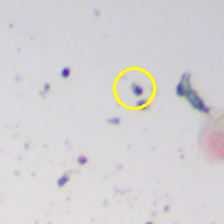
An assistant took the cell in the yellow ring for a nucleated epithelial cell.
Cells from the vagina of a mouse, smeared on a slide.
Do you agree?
I disagree, it is a leukocyte.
